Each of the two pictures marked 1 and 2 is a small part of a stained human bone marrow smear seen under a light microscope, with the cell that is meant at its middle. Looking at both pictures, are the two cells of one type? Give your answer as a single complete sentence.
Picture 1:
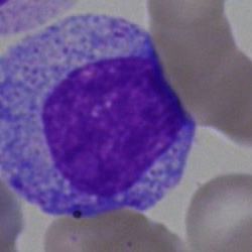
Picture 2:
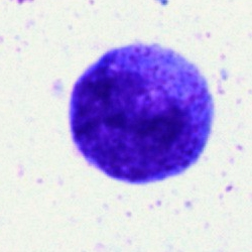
Yes, they are the same type: both are promyelocytes.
